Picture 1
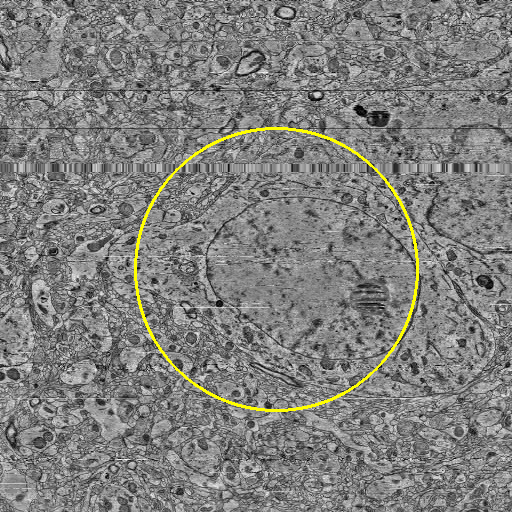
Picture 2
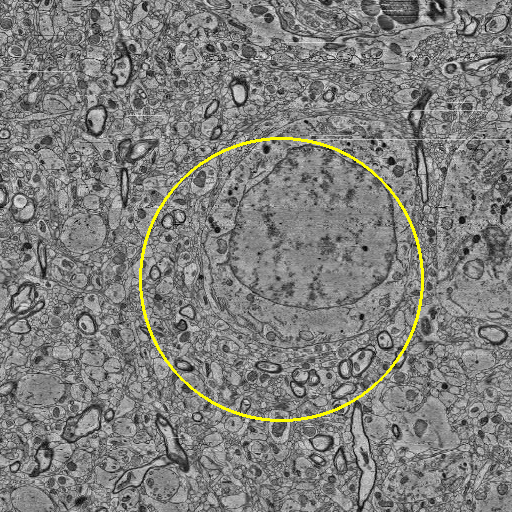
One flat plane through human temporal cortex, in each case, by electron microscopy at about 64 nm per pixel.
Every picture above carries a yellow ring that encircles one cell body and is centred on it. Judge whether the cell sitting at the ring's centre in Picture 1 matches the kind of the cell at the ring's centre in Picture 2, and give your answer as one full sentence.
Yes, the cells centred in the rings of Pictures 1 and 2 belong to one kind.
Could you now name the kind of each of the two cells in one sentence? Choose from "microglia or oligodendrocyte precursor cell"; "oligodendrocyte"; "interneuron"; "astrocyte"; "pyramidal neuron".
In each picture the ringed cell is a pyramidal neuron.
